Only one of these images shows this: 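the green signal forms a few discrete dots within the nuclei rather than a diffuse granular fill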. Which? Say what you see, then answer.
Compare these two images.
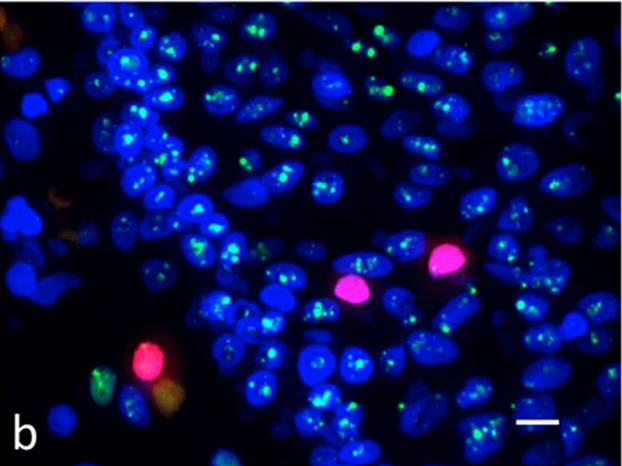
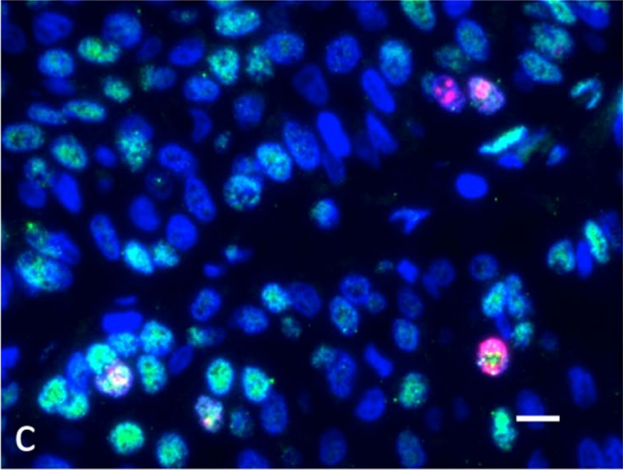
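Second image: many nuclei are filled with fine, widespread green granules. First image: most nuclei carry one to several distinct, separate green dots on a blue background. On this evidence: the first image.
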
